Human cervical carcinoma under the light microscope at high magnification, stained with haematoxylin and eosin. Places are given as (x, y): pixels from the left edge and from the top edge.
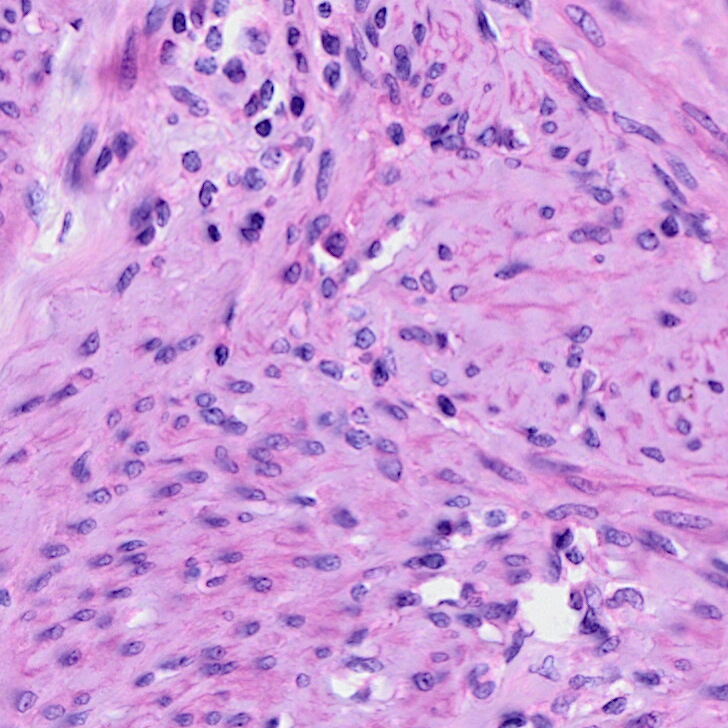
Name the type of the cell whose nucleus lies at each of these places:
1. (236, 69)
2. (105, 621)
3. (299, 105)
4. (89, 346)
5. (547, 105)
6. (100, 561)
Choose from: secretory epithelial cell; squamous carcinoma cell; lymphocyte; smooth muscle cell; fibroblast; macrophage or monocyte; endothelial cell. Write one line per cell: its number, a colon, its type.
1: lymphocyte
2: smooth muscle cell
3: lymphocyte
4: smooth muscle cell
5: smooth muscle cell
6: smooth muscle cell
